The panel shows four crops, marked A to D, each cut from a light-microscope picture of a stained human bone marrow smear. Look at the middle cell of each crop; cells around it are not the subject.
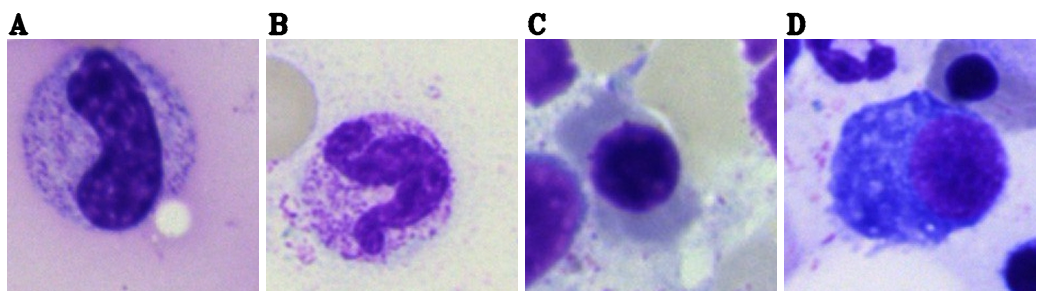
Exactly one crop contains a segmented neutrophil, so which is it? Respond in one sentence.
Within this set, crop B is the one with a segmented neutrophil at its center.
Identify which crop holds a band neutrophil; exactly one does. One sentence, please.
The crop with a band neutrophil in it is crop A.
